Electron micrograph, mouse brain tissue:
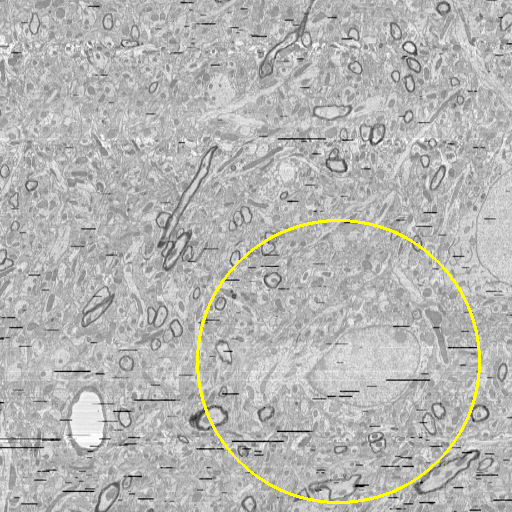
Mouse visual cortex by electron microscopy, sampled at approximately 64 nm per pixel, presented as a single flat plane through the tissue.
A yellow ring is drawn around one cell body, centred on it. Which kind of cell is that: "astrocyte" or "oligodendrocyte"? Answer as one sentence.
It is an astrocyte at the centre of the ring.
